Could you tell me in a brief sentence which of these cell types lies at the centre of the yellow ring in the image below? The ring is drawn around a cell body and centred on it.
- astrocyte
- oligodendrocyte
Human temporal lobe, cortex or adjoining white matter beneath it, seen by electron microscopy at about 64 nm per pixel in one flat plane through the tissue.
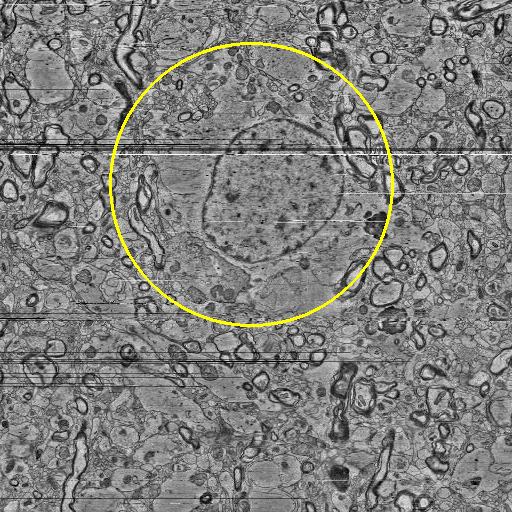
The cell centred in the ring is an astrocyte.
